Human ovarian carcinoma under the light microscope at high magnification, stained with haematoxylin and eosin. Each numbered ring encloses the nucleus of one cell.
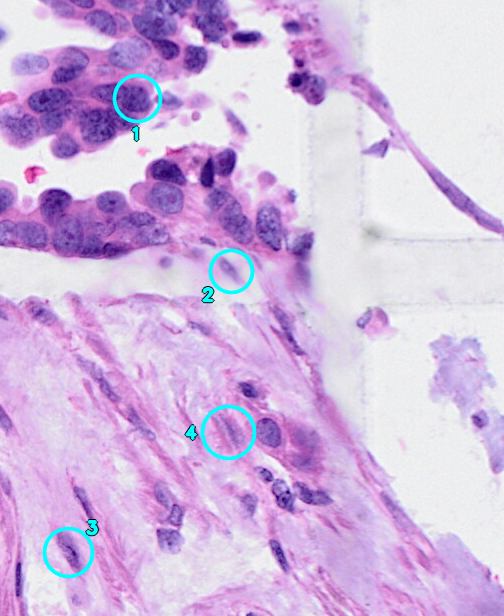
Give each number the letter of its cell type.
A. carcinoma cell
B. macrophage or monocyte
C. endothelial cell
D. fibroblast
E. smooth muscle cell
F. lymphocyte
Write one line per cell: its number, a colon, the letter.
1: A
2: D
3: D
4: D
